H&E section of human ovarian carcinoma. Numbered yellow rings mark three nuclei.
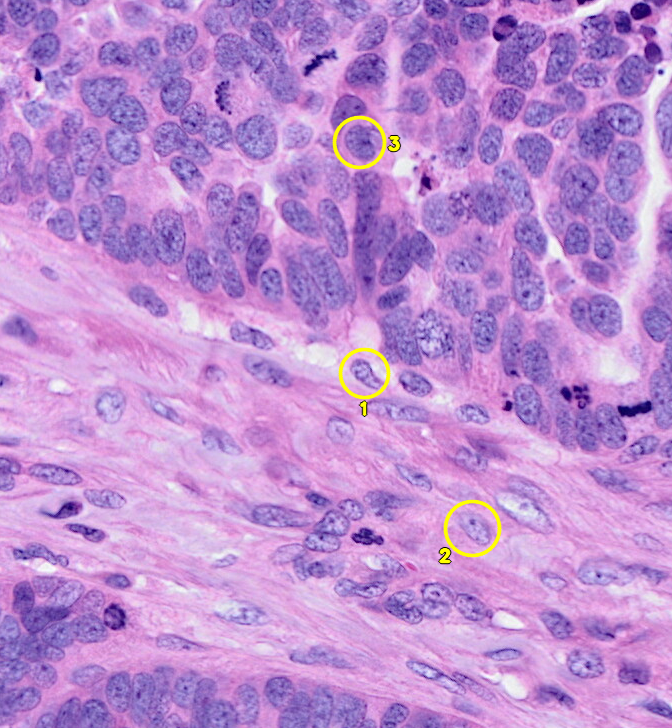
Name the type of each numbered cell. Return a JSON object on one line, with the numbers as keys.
{"1": "macrophage or monocyte", "2": "fibroblast", "3": "carcinoma cell"}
